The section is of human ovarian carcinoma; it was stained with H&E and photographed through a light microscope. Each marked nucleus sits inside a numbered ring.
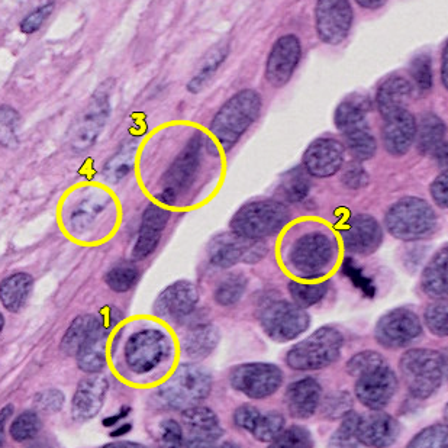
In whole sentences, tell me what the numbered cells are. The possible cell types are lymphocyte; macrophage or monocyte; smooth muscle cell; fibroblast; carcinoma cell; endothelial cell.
Cell 1 is a macrophage or monocyte, cell 2 is a carcinoma cell, cell 3 is a carcinoma cell and cell 4 is a fibroblast.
